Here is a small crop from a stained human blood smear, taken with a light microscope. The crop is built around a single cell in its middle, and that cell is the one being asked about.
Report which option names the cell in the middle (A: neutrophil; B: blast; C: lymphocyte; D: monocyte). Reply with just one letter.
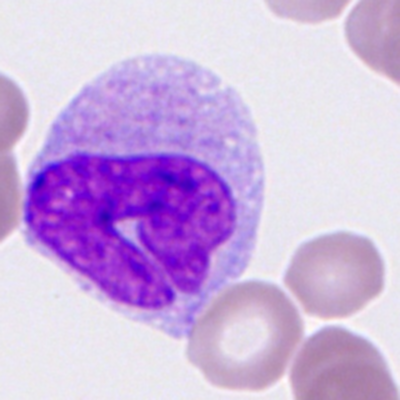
D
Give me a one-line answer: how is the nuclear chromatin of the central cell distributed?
Check the chromatin: it is fine and not coarsely clumped.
